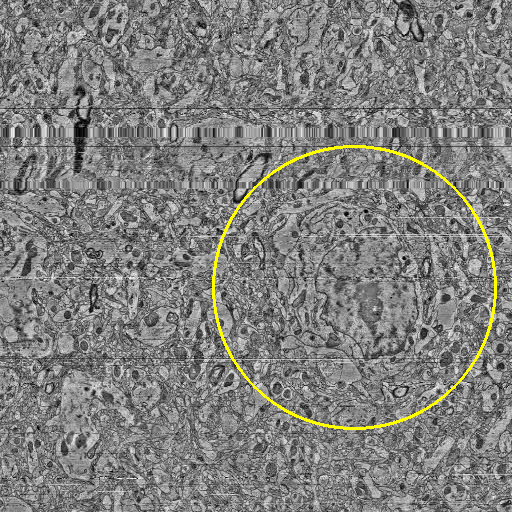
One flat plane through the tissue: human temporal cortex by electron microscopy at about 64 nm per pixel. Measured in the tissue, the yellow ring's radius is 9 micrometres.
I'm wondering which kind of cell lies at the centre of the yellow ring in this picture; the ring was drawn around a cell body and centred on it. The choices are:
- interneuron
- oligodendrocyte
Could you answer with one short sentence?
At the centre of the ring lies an interneuron.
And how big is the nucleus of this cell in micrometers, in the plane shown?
The nucleus works out at approximately 8 by 6 micrometres in this plane.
